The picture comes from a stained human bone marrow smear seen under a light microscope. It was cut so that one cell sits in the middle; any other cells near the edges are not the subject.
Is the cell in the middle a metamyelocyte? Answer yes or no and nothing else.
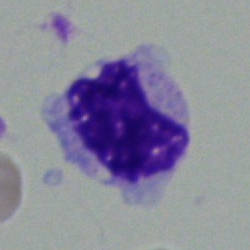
yes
